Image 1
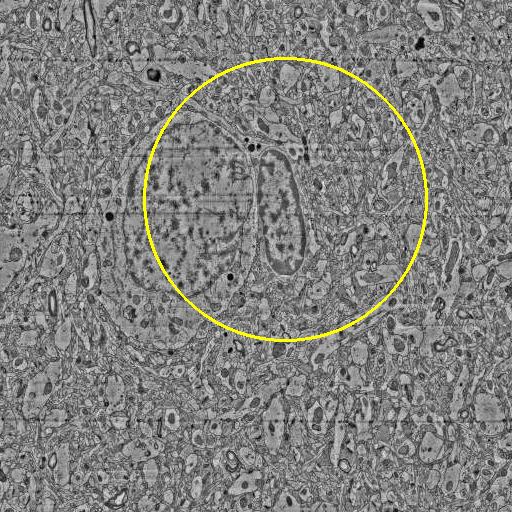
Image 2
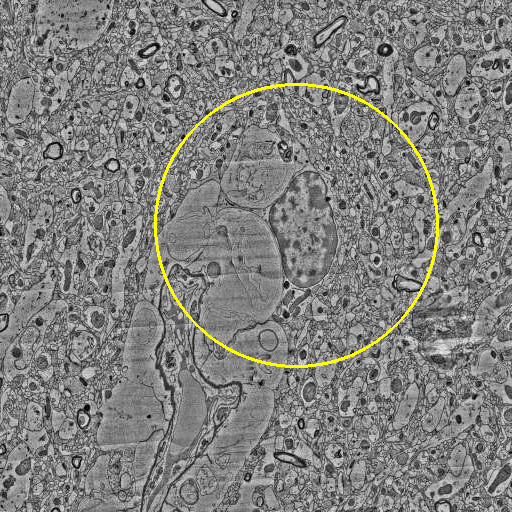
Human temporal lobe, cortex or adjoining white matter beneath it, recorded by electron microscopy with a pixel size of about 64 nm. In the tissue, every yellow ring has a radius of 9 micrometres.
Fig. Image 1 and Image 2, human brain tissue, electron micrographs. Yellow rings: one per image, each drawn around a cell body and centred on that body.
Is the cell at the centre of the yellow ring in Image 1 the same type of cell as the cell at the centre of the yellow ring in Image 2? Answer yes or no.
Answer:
yes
